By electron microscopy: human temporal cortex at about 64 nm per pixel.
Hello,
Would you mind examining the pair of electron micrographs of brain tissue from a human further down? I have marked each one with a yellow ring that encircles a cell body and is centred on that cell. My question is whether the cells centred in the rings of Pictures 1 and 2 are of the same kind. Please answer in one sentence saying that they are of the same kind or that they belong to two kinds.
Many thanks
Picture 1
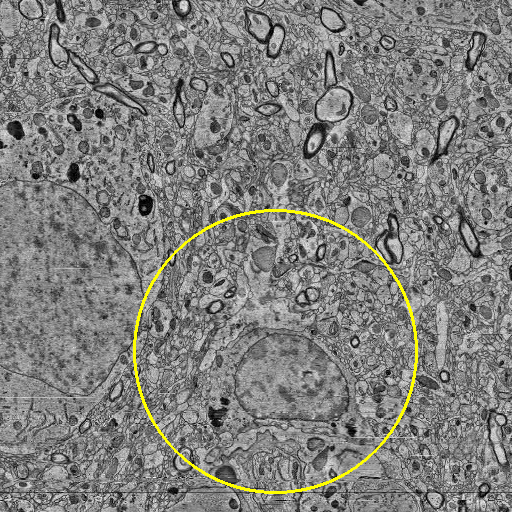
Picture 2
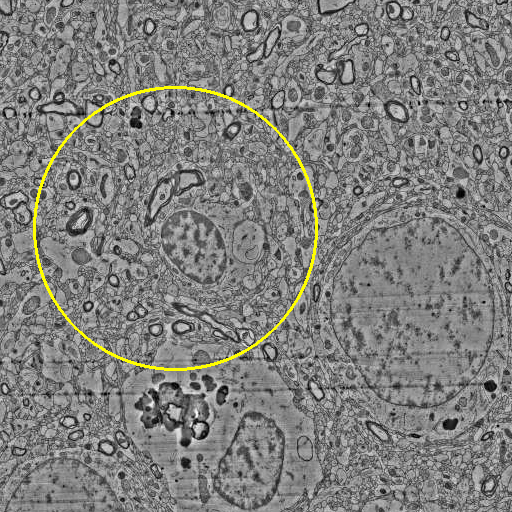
In Pictures 1 and 2, the cells at the heart of the rings belong to two kinds.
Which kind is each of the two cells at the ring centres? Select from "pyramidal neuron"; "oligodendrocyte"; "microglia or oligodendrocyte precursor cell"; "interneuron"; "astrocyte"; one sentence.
The cell at the centre of the ring is an oligodendrocyte in the first picture and a microglial cell or oligodendrocyte precursor cell in the second.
